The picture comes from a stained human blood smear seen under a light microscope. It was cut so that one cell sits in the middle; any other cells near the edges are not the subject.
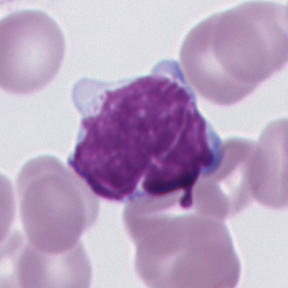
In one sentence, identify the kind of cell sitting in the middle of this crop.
Standing at the centre of this crop is a large granular lymphocyte.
